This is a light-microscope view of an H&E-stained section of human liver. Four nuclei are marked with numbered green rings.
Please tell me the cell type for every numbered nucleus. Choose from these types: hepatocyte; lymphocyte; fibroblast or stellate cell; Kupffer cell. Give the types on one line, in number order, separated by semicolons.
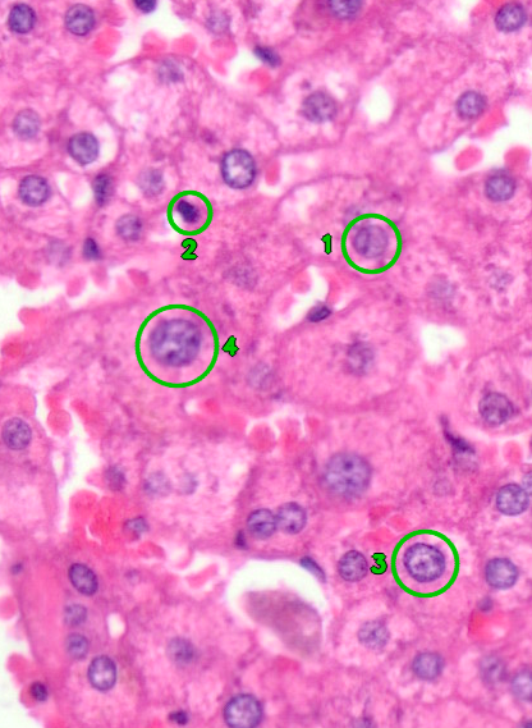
hepatocyte; fibroblast or stellate cell; hepatocyte; hepatocyte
